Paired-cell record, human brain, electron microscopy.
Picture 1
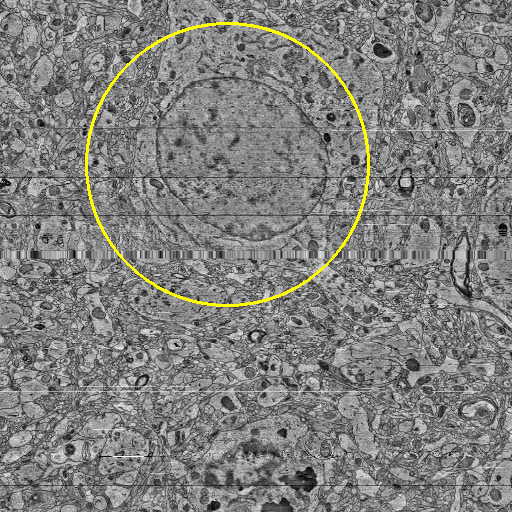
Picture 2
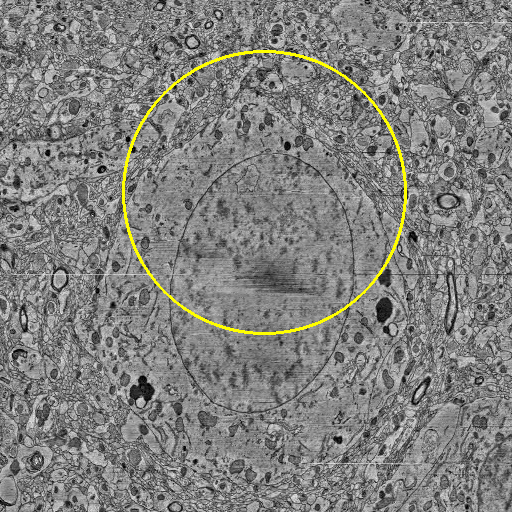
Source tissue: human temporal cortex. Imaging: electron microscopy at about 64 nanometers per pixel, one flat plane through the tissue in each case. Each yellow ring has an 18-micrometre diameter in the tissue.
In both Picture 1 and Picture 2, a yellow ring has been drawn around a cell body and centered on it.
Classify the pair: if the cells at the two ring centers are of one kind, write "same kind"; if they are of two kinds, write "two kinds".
same kind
